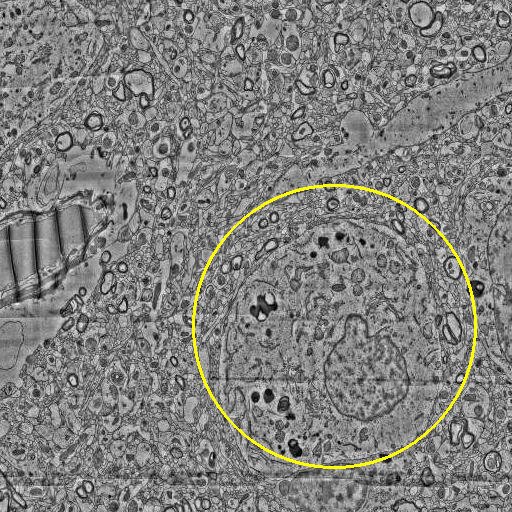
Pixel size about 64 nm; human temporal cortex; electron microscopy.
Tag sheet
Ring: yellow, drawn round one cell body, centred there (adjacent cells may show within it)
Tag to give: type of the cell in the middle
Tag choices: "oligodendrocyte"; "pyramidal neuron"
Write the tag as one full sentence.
I tag the cell centred in the yellow ring as a pyramidal neuron in this picture.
